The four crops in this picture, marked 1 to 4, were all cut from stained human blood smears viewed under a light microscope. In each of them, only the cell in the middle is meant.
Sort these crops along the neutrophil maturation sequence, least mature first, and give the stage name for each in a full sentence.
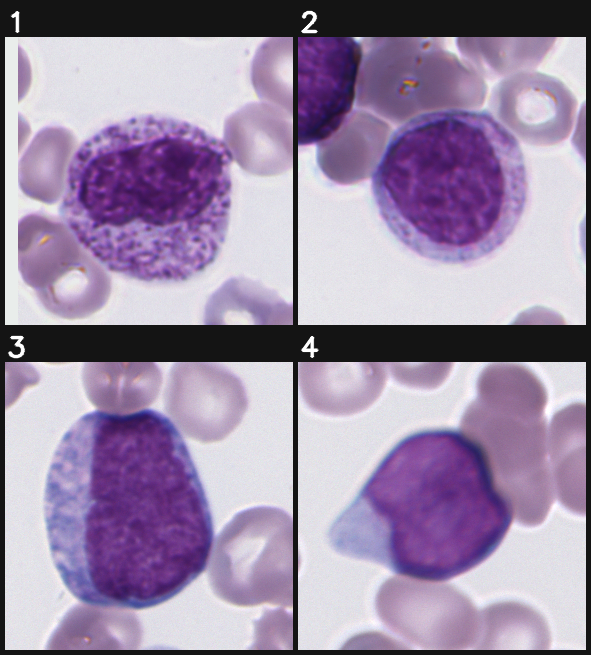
Across the crops, maturity increases in the order crop 4 (a myeloblast), crop 3 (a promyelocyte), crop 2 (a myelocyte) and crop 1 (a metamyelocyte).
